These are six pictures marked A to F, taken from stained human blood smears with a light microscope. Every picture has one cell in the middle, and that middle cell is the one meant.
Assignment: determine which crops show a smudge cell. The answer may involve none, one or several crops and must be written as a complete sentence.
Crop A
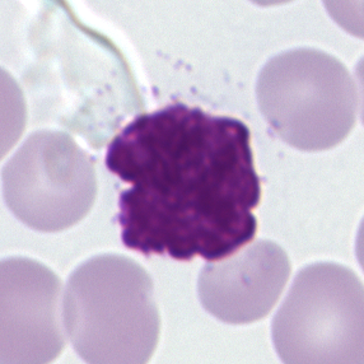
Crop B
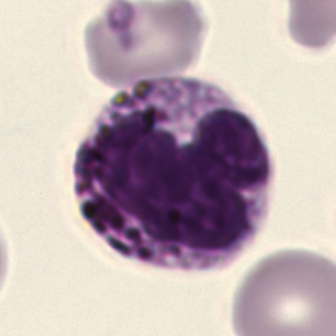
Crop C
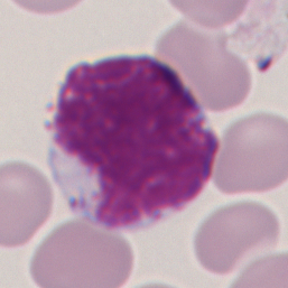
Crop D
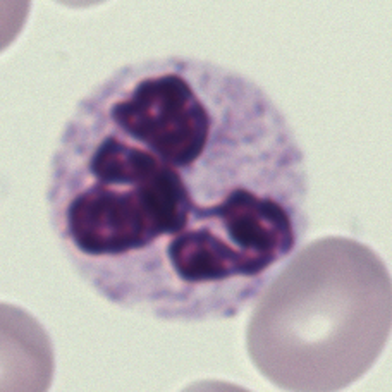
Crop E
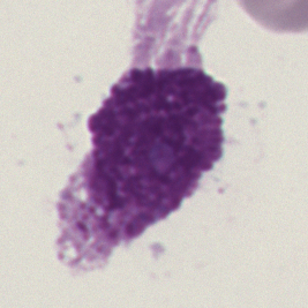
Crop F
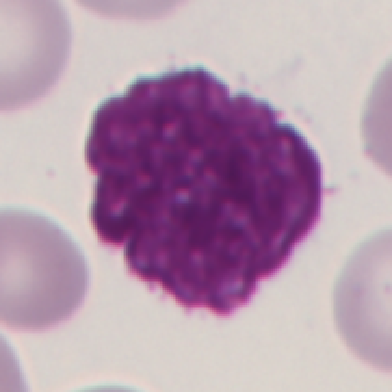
Crops A, E and F are identified as showing smudge cells.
